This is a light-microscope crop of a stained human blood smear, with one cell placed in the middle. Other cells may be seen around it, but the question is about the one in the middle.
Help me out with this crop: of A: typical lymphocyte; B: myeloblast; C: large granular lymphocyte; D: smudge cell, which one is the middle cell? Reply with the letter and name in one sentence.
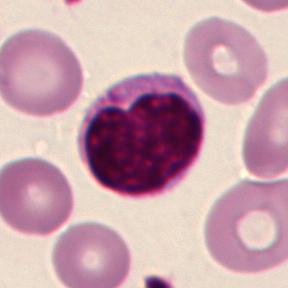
The one to choose is option C, as the cell in the middle is a large granular lymphocyte.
